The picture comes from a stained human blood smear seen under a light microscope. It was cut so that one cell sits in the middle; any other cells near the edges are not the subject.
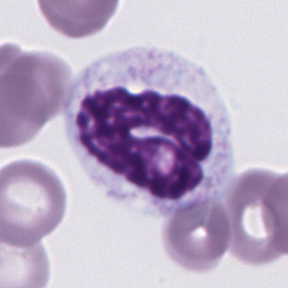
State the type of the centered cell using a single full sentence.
The cell at the heart of this crop is a band neutrophil.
